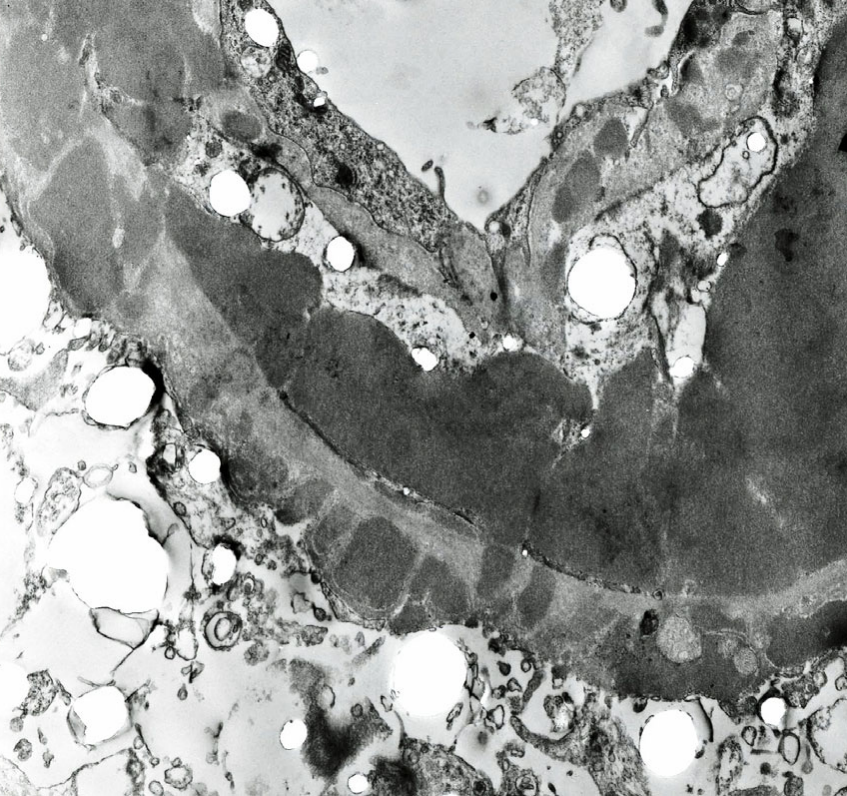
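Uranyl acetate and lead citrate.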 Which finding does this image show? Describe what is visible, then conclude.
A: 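Subendothelial, globular electron dense deposits. A very large, homogeneous, dark, lobulated mass occupies the centre of the field. The dark mass lies on the inner side of the basement membrane, beneath the endothelial cytoplasm. The dark mass bulges toward the capillary lumen and narrows it.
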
